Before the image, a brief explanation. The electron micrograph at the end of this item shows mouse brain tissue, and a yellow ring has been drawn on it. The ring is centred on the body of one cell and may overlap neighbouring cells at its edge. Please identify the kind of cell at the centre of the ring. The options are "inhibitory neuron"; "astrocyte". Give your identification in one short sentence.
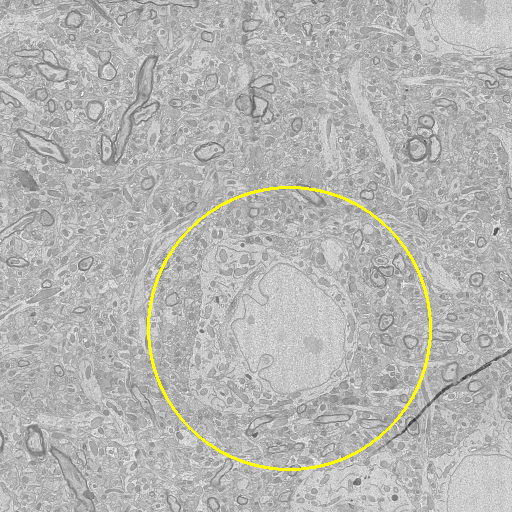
The ring has been placed around an inhibitory neuron.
